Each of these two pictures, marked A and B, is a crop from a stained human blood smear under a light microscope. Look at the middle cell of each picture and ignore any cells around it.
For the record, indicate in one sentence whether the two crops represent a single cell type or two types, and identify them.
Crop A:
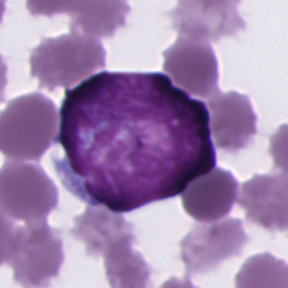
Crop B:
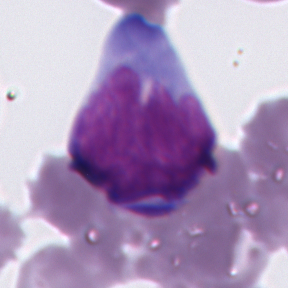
Yes, in short, both crops show myeloblasts.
